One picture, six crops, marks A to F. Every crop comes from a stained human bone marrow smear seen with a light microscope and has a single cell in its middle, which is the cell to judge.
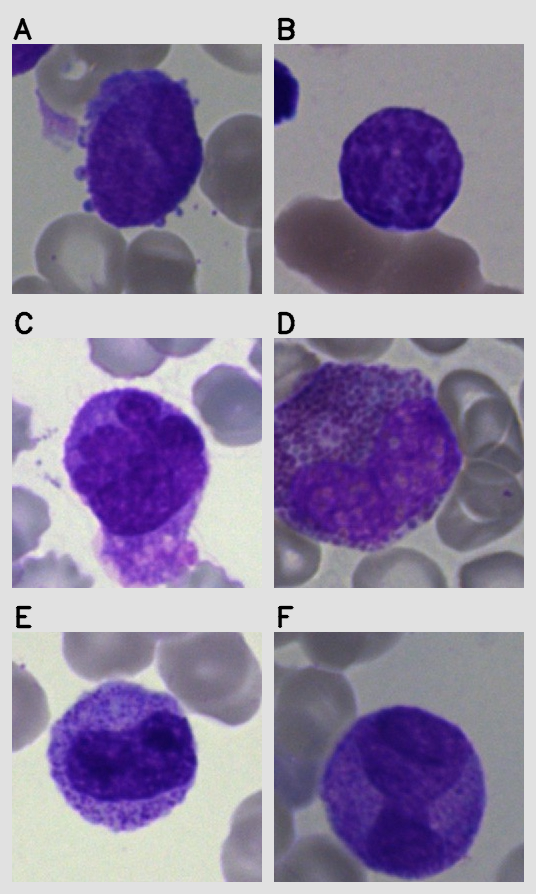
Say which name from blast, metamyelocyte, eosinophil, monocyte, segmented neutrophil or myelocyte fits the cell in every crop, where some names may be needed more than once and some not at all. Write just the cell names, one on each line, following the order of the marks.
blast
blast
monocyte
eosinophil
metamyelocyte
blast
